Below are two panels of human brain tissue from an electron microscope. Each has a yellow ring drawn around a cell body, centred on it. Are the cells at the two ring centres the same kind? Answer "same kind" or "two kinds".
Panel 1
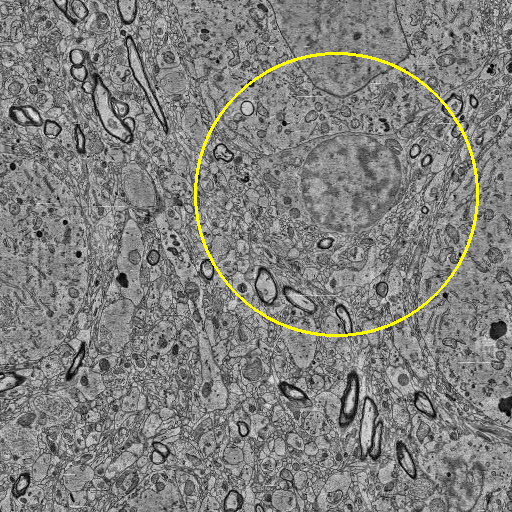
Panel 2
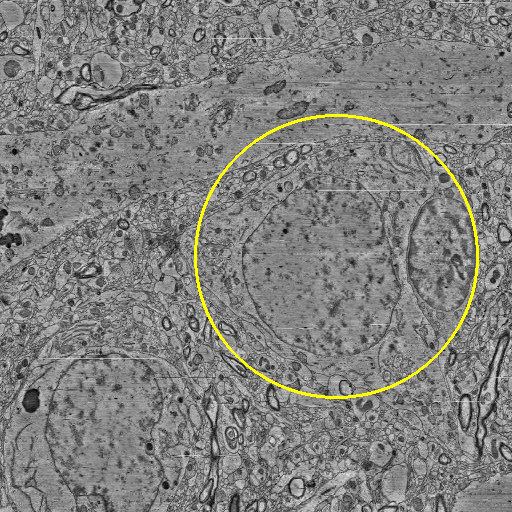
two kinds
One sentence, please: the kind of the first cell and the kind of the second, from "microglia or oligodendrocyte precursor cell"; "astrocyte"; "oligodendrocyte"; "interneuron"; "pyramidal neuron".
The ring in the first picture surrounds an oligodendrocyte, and the ring in the second surrounds an interneuron.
